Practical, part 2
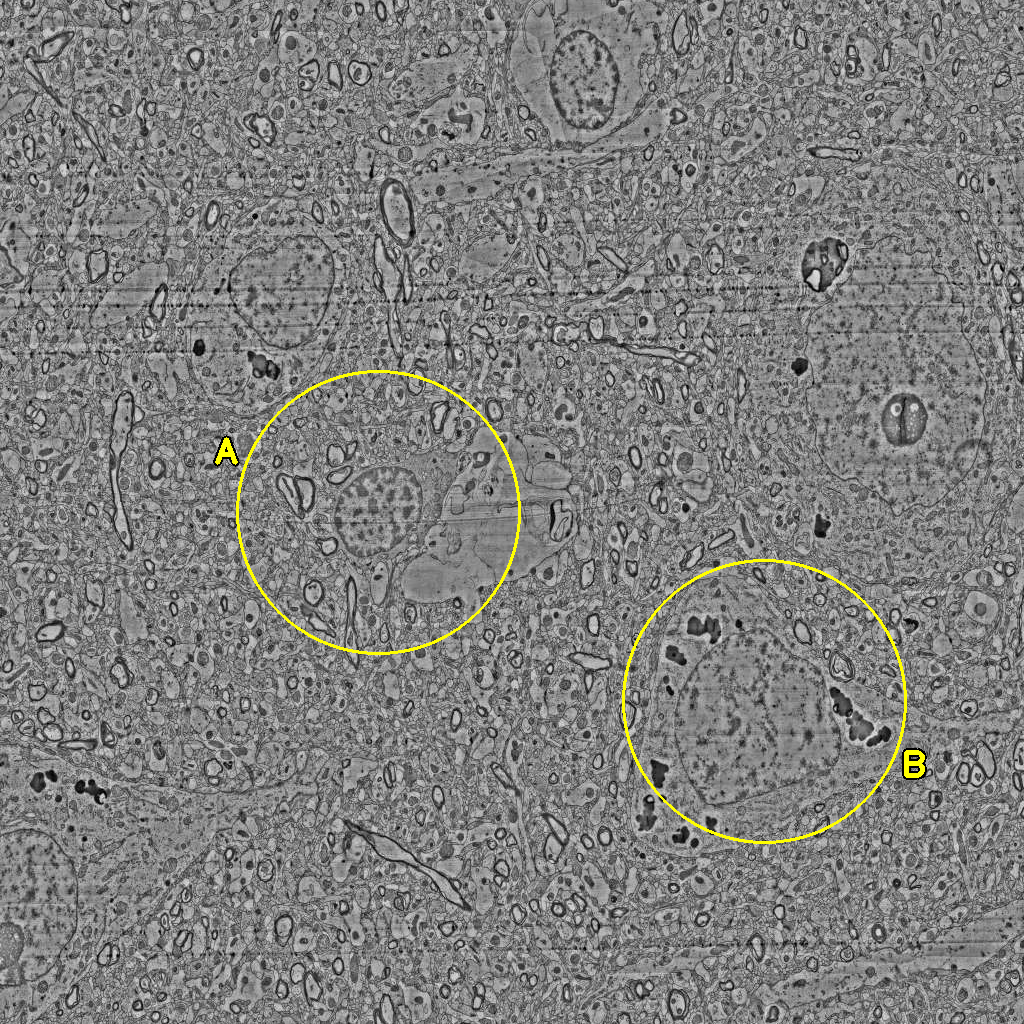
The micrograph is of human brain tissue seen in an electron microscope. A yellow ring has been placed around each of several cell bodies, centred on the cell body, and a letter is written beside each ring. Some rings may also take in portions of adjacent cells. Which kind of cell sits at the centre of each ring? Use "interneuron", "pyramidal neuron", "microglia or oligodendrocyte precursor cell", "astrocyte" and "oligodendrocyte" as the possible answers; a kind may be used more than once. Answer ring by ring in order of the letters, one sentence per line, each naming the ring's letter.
Ring A sits on an oligodendrocyte.
Ring B sits on an interneuron.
